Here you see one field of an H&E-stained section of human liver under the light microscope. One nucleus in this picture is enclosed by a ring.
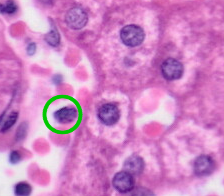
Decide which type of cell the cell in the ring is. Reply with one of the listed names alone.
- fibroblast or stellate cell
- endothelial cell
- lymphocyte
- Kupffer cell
lymphocyte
